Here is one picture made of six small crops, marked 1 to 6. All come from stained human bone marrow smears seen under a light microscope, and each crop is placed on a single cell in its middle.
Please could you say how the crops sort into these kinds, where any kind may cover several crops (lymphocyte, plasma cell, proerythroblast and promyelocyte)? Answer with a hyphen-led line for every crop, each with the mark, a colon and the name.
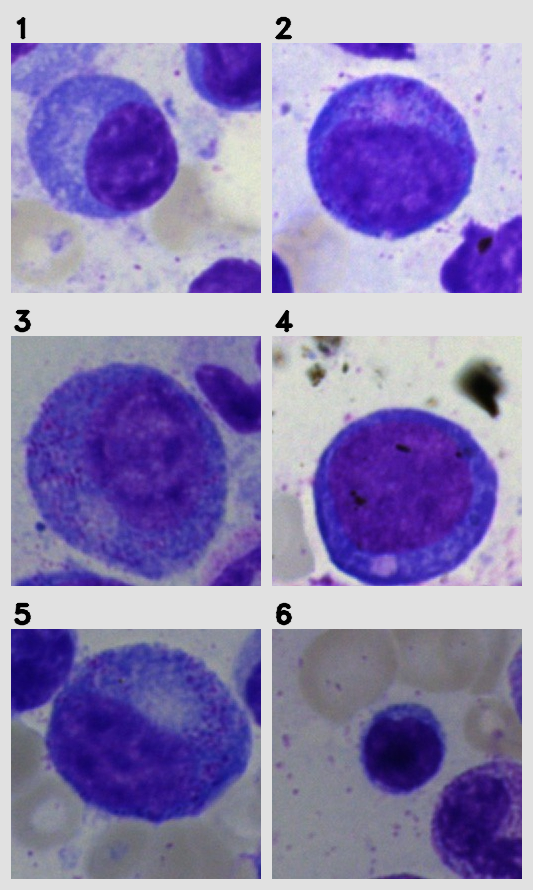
- 1: plasma cell
- 2: promyelocyte
- 3: promyelocyte
- 4: proerythroblast
- 5: promyelocyte
- 6: lymphocyte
